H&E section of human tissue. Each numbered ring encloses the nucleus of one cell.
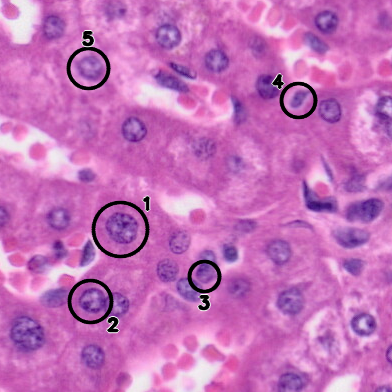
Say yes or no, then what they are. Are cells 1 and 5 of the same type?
Yes, the two cells, 1 and 5, are both hepatocytes.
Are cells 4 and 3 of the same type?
No, cell 3 is a cholangiocyte, and cell 4 is a fibroblast or stellate cell.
